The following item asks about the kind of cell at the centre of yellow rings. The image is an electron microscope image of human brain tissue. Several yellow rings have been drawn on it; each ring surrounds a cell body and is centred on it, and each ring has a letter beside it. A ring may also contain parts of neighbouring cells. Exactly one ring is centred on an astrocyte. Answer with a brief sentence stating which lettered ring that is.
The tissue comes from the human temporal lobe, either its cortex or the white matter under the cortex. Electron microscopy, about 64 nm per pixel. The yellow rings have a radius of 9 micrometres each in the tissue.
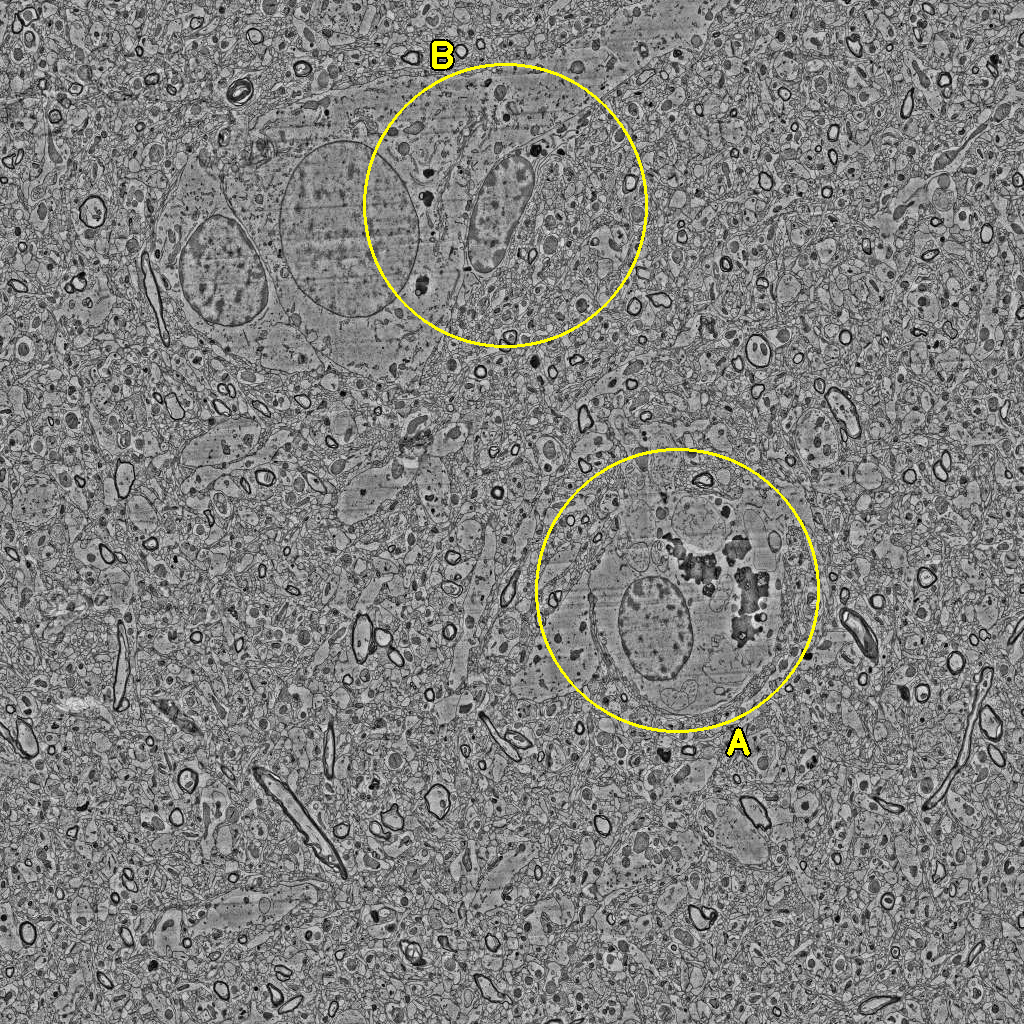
That is ring A.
